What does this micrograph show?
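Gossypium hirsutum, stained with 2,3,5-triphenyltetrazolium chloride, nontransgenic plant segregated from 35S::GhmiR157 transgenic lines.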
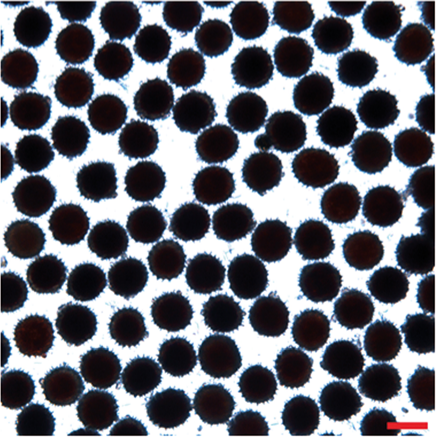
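Spread of cotton pollen grains, brightfield. Grains are spherical and of uniform size, closely packed but mostly separate, each with an outer wall bearing a regular fringe of short, pointed spines at its margin. Nearly all grains are stained evenly dark red-brown to black and are opaque; a few show a slightly redder tone. Internal structure of the grains is not resolved.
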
